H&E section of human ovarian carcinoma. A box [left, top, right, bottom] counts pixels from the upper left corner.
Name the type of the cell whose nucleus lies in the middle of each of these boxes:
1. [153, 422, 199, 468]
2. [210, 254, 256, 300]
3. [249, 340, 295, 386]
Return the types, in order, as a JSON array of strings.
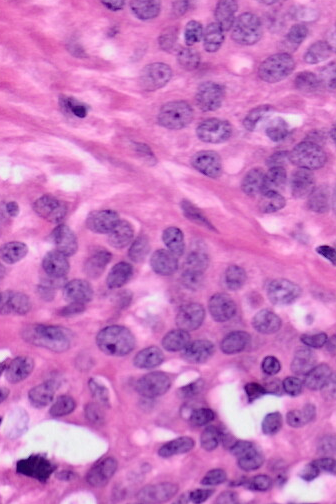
["macrophage or monocyte", "carcinoma cell", "macrophage or monocyte"]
